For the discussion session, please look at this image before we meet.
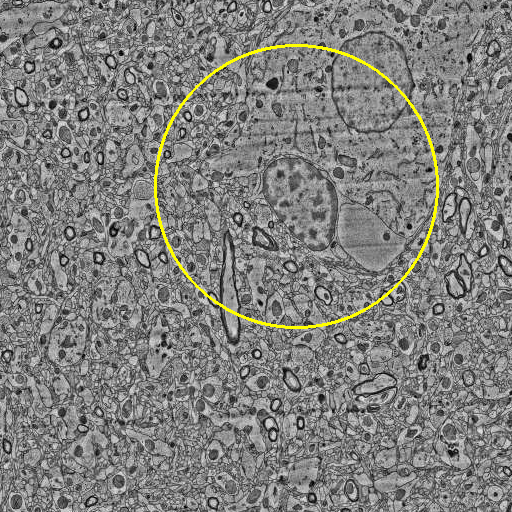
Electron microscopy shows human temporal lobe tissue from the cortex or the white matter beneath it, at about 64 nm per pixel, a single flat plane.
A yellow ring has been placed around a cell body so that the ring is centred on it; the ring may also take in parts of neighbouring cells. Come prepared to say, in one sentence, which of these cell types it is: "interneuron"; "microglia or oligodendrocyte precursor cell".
The cell centred in the ring is a microglial cell or oligodendrocyte precursor cell.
